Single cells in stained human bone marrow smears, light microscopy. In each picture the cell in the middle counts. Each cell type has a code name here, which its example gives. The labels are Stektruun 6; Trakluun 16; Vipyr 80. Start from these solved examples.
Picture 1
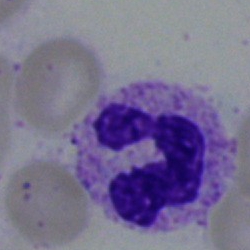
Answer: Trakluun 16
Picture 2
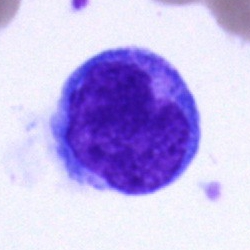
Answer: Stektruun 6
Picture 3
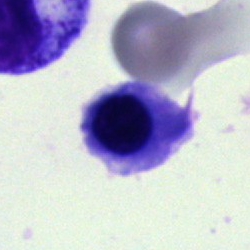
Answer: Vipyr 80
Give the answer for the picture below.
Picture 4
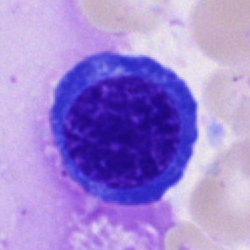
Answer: Vipyr 80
